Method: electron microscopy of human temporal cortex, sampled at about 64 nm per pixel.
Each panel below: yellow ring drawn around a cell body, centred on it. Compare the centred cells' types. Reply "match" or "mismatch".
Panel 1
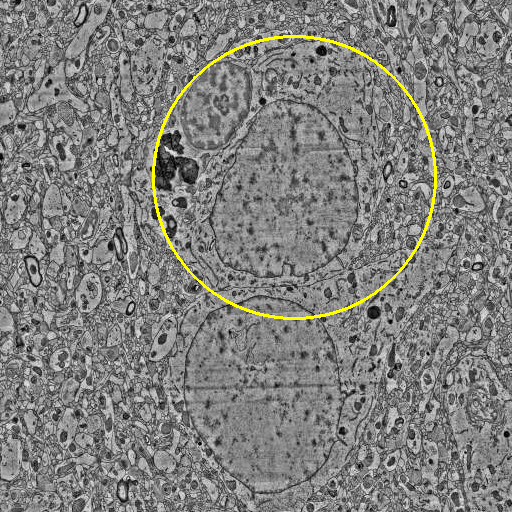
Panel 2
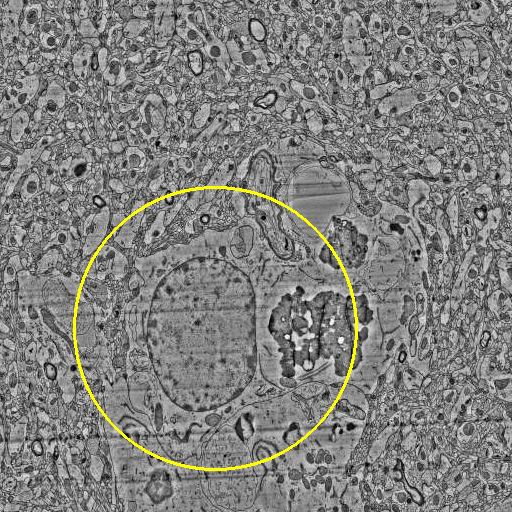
mismatch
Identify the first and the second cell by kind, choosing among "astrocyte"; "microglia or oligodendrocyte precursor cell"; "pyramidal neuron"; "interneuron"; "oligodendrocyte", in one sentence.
The one in the first picture is a pyramidal neuron, while the one in the second is an astrocyte.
